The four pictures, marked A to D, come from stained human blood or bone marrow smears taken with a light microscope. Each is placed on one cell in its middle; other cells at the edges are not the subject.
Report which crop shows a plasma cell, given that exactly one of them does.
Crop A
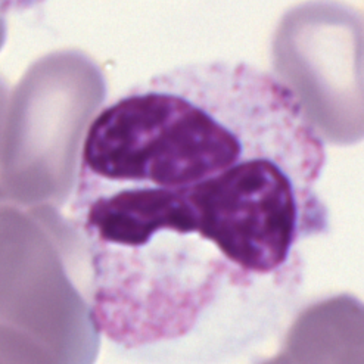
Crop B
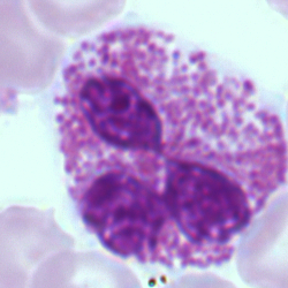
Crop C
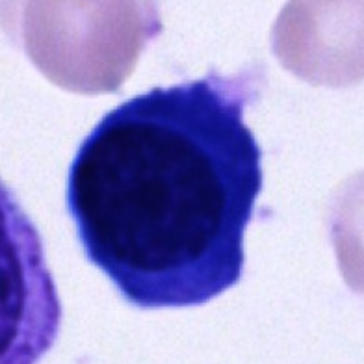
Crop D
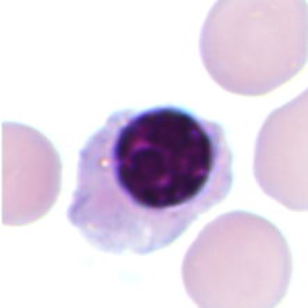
C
